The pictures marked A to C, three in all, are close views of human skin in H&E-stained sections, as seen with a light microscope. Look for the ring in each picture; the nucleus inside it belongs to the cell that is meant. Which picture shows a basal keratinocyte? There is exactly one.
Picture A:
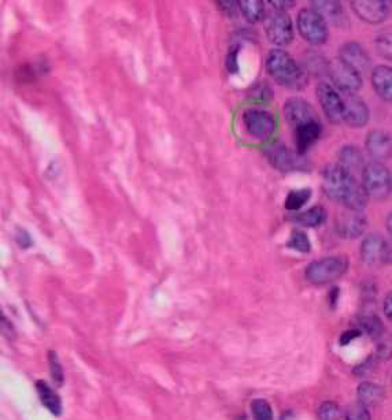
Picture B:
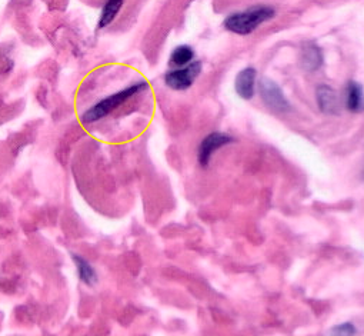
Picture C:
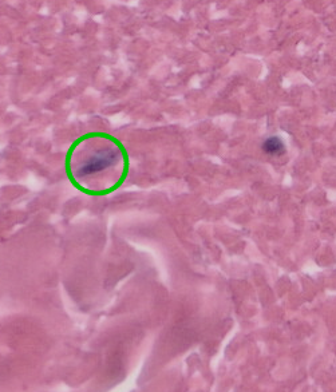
A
